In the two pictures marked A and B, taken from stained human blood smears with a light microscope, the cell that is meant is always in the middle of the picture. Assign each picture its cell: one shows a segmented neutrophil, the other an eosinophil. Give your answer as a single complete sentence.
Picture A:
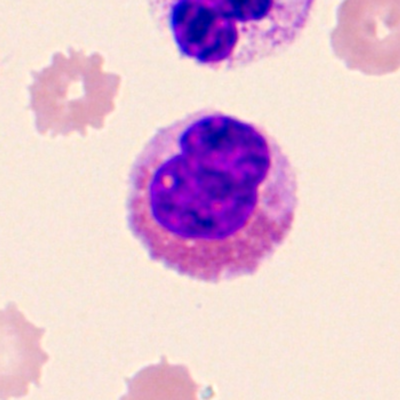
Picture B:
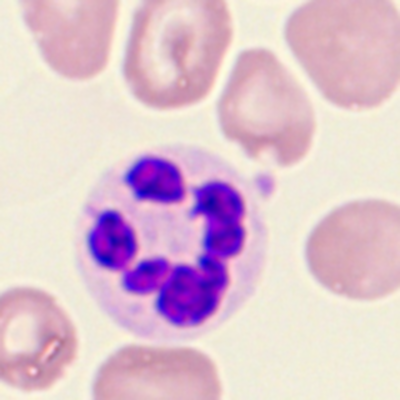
Picture A shows an eosinophil and picture B shows a segmented neutrophil.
